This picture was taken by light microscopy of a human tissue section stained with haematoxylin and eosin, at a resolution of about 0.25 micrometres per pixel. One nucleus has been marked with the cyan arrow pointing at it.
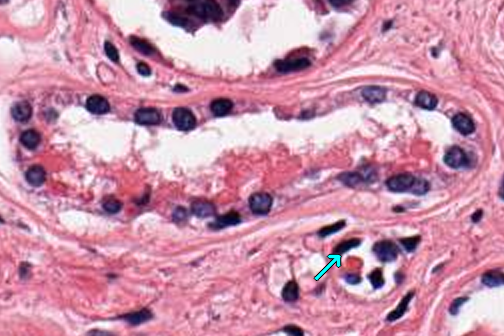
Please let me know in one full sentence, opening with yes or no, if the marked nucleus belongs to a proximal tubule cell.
No, the marked nucleus is not part of a proximal tubule cell and instead belongs to a supporting cell.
